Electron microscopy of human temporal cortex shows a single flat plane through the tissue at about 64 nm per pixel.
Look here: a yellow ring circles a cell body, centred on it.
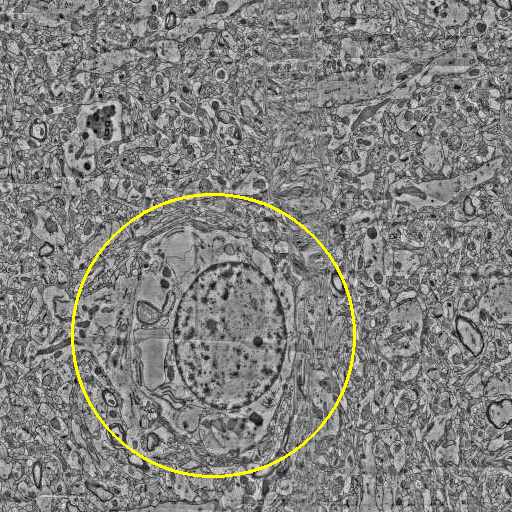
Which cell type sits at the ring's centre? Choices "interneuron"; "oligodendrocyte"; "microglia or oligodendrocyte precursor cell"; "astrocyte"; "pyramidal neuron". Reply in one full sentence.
The cell at the centre of the yellow ring in the picture is an astrocyte.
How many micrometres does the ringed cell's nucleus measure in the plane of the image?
Roughly 9 by 7 micrometres in this plane, for the nucleus of the ringed cell.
